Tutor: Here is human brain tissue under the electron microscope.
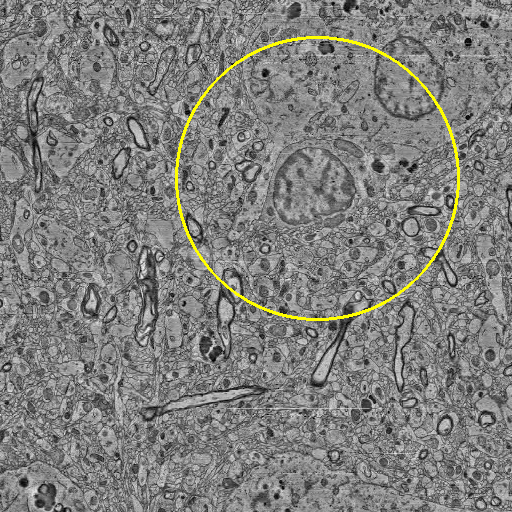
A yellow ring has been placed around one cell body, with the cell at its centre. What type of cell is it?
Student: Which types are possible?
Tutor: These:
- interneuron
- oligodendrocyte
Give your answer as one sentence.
What the ring picks out here is an oligodendrocyte.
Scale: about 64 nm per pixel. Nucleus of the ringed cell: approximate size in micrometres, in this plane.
Approximately 5 micrometres across, in this plane.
